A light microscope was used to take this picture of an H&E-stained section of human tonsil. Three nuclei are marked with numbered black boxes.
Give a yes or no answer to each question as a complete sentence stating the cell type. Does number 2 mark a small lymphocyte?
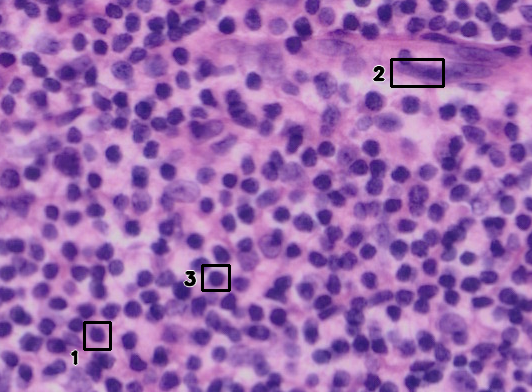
No, an endothelial cell is what cell 2 is, not a small lymphocyte.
